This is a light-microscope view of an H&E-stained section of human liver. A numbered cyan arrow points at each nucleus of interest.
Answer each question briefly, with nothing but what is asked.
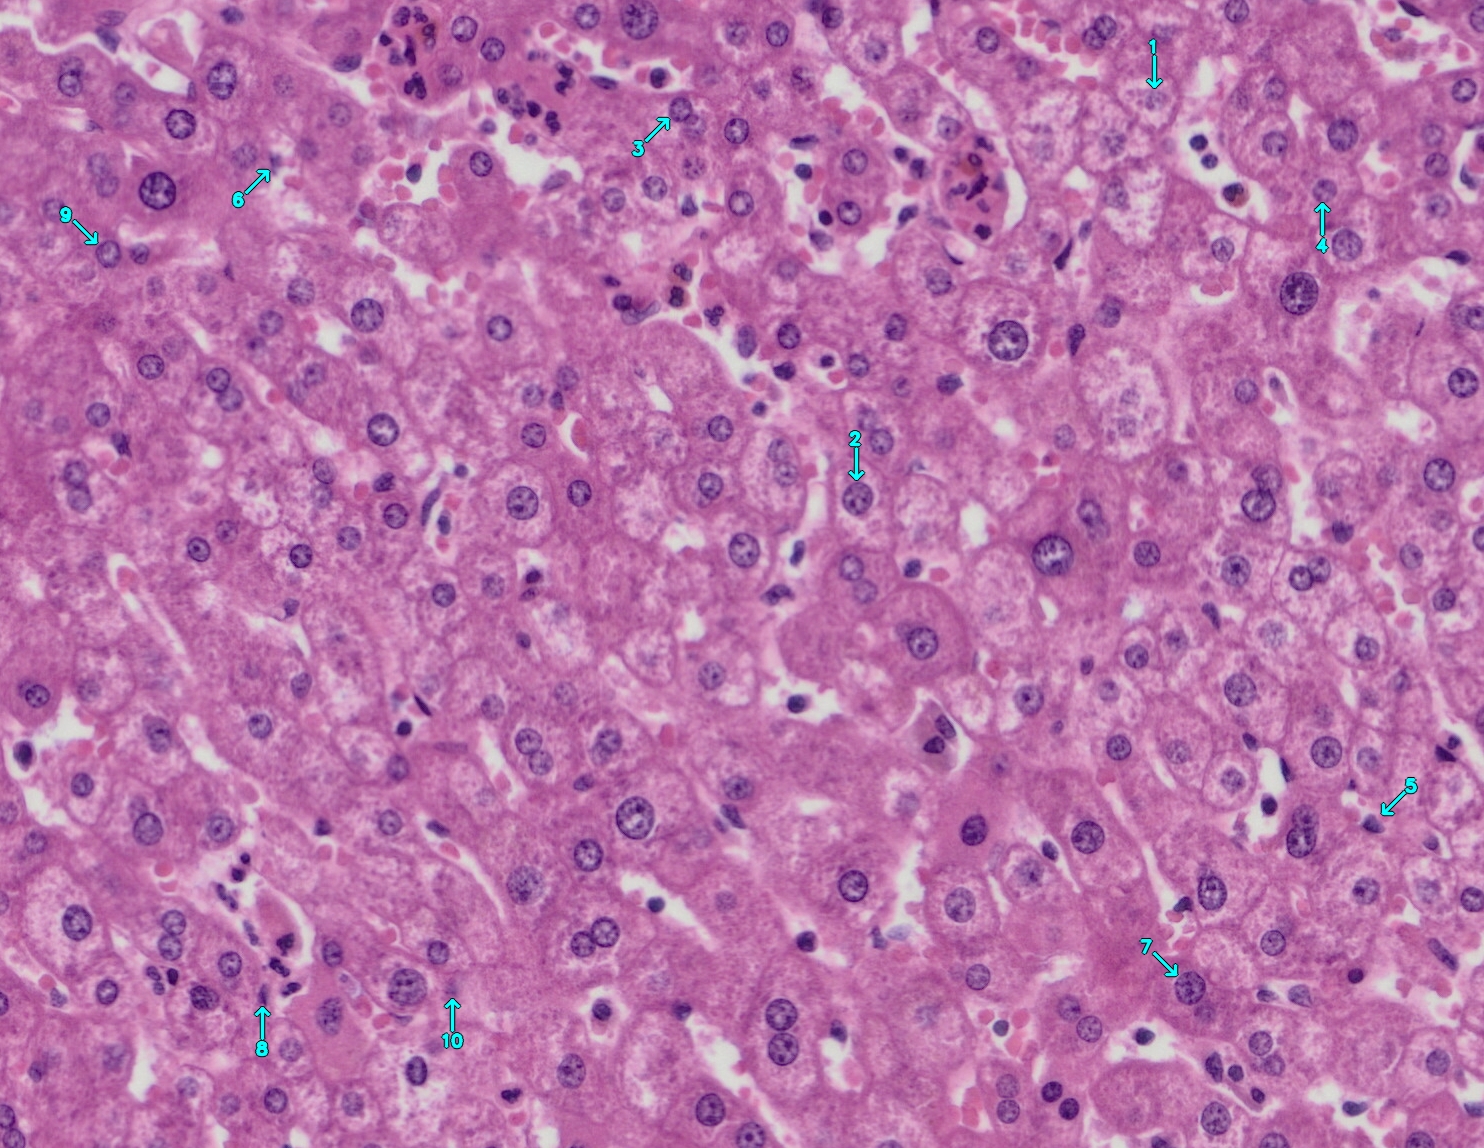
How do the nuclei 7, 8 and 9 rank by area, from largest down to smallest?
7, 9, 8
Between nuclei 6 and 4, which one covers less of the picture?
6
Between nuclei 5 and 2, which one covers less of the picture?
5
